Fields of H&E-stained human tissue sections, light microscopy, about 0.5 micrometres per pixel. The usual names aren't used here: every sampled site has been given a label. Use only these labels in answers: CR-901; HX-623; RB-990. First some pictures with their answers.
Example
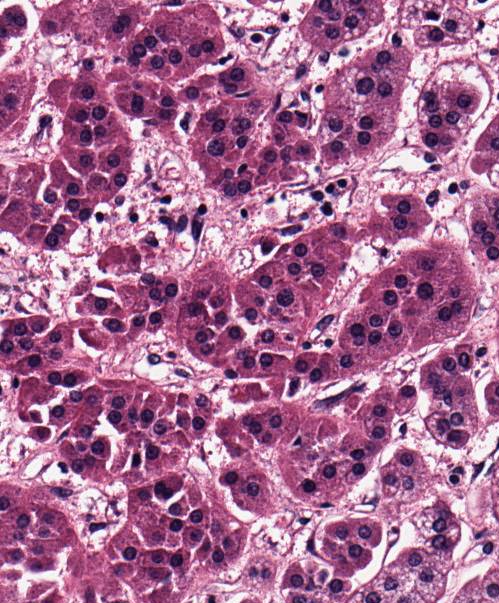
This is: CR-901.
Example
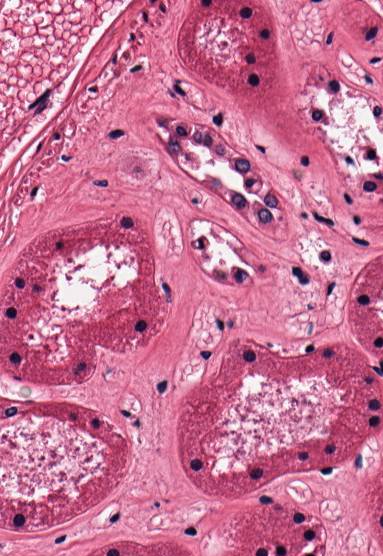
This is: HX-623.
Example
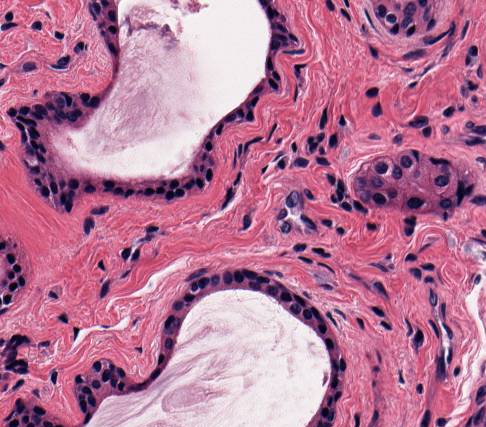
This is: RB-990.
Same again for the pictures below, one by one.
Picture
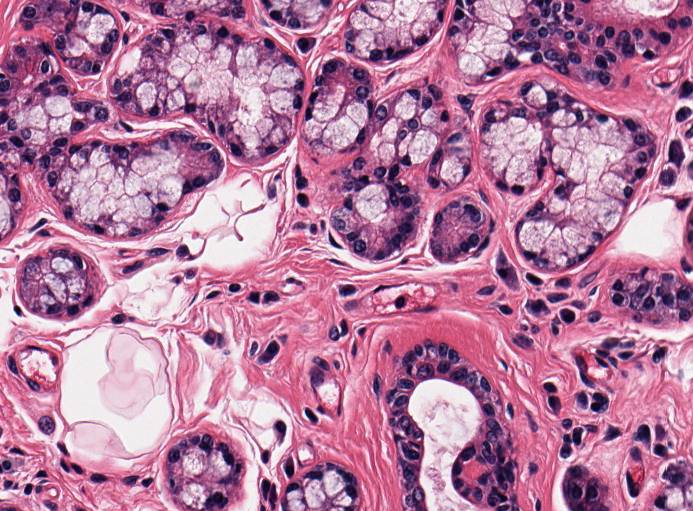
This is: RB-990.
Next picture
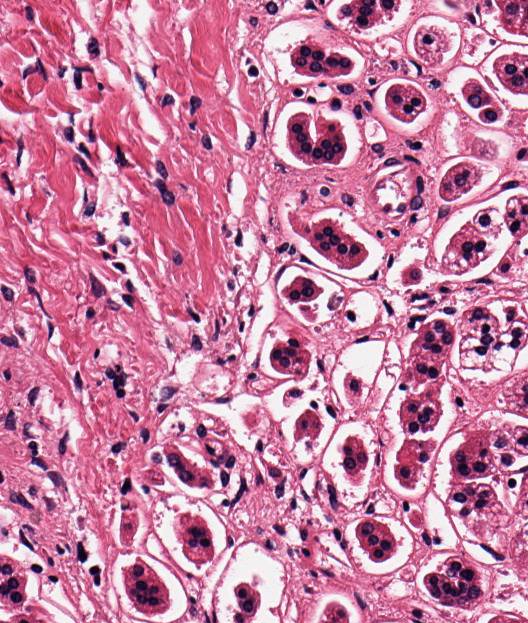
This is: CR-901.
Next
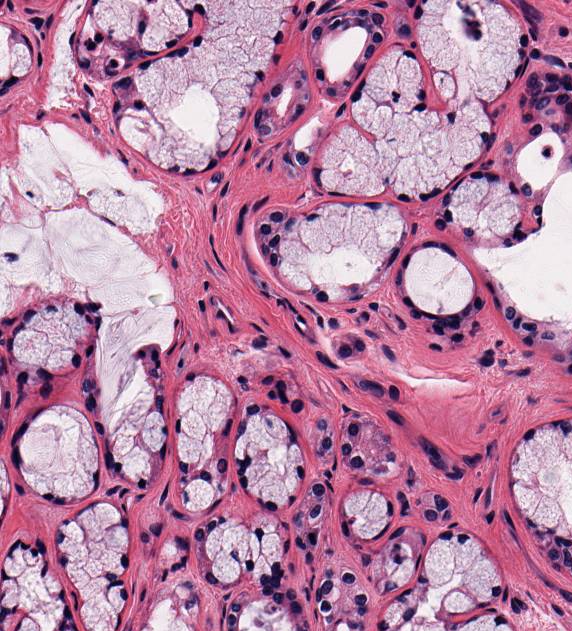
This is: RB-990.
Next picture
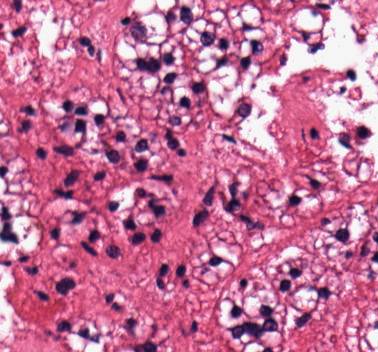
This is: CR-901.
